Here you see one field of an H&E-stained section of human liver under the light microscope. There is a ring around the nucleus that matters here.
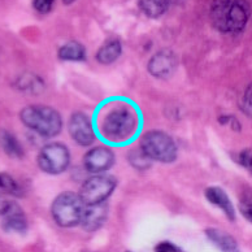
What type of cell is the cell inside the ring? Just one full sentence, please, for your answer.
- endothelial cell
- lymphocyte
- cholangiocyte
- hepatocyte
By cell type, the cell inside the ring is a cholangiocyte.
